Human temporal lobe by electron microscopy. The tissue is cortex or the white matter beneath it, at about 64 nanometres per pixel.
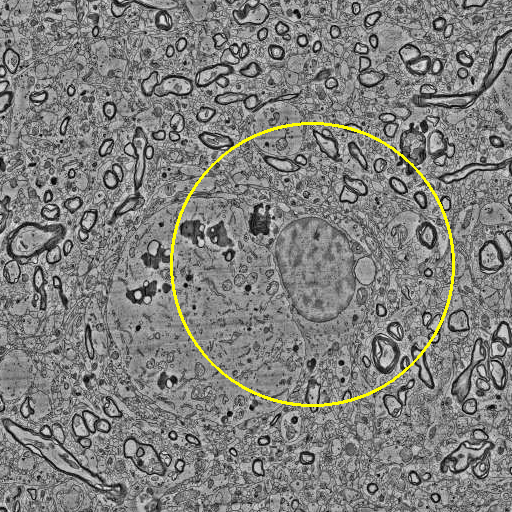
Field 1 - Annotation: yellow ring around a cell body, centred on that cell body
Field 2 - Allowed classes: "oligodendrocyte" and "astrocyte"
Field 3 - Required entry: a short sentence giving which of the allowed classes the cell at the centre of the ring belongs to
The centred cell is an oligodendrocyte.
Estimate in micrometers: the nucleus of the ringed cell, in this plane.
In this plane the nucleus measures roughly 7 by 5 micrometers.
